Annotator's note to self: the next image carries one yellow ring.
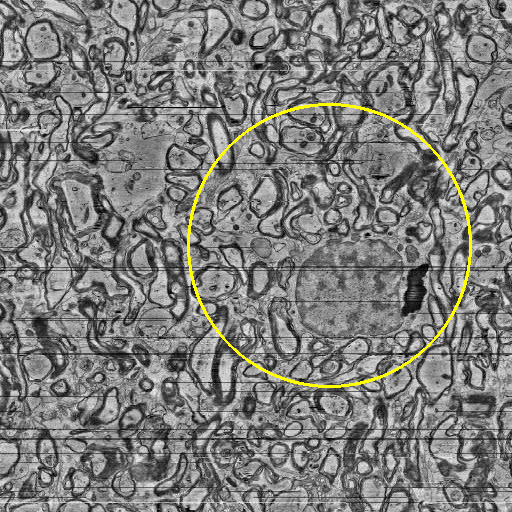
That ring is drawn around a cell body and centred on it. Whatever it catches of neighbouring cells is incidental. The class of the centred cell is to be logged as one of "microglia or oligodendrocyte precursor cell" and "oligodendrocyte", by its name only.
oligodendrocyte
